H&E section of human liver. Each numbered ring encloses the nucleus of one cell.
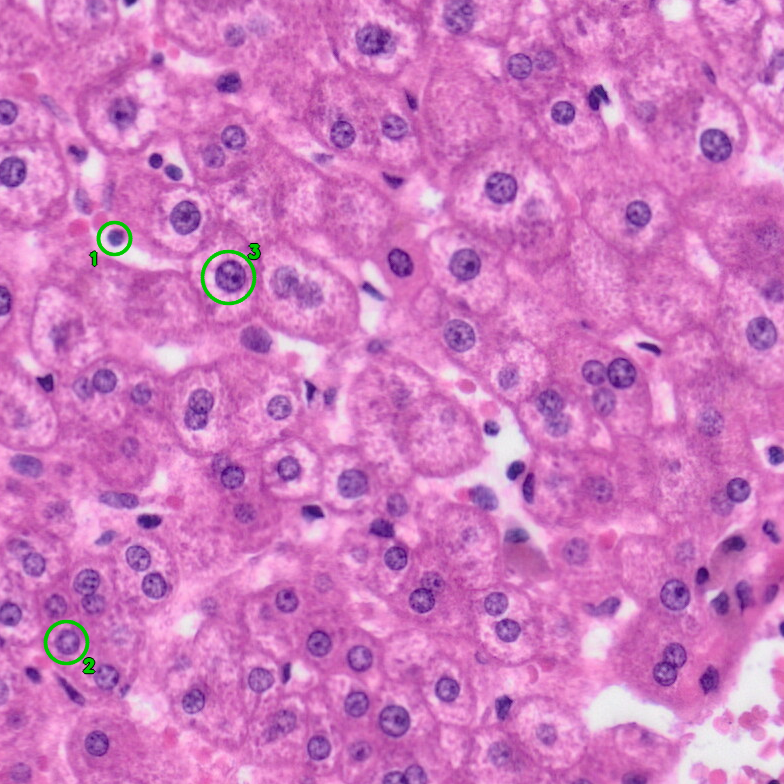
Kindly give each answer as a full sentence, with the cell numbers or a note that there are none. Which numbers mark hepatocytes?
Within the section, cells numbered 2 and 3 are hepatocytes.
